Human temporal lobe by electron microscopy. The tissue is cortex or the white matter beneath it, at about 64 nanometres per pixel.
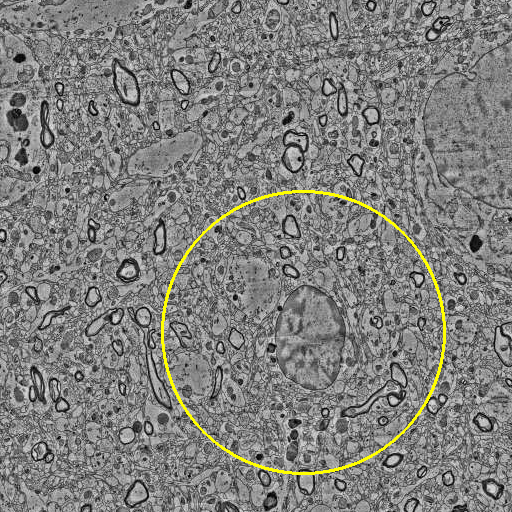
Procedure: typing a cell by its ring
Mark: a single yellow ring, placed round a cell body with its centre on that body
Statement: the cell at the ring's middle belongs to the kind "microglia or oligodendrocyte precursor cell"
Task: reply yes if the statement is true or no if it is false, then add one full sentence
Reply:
Yes, this is true: the cell at the ring's centre in the picture belongs to that kind.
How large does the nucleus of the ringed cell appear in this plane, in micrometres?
About 7 by 5 micrometers, in this plane.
